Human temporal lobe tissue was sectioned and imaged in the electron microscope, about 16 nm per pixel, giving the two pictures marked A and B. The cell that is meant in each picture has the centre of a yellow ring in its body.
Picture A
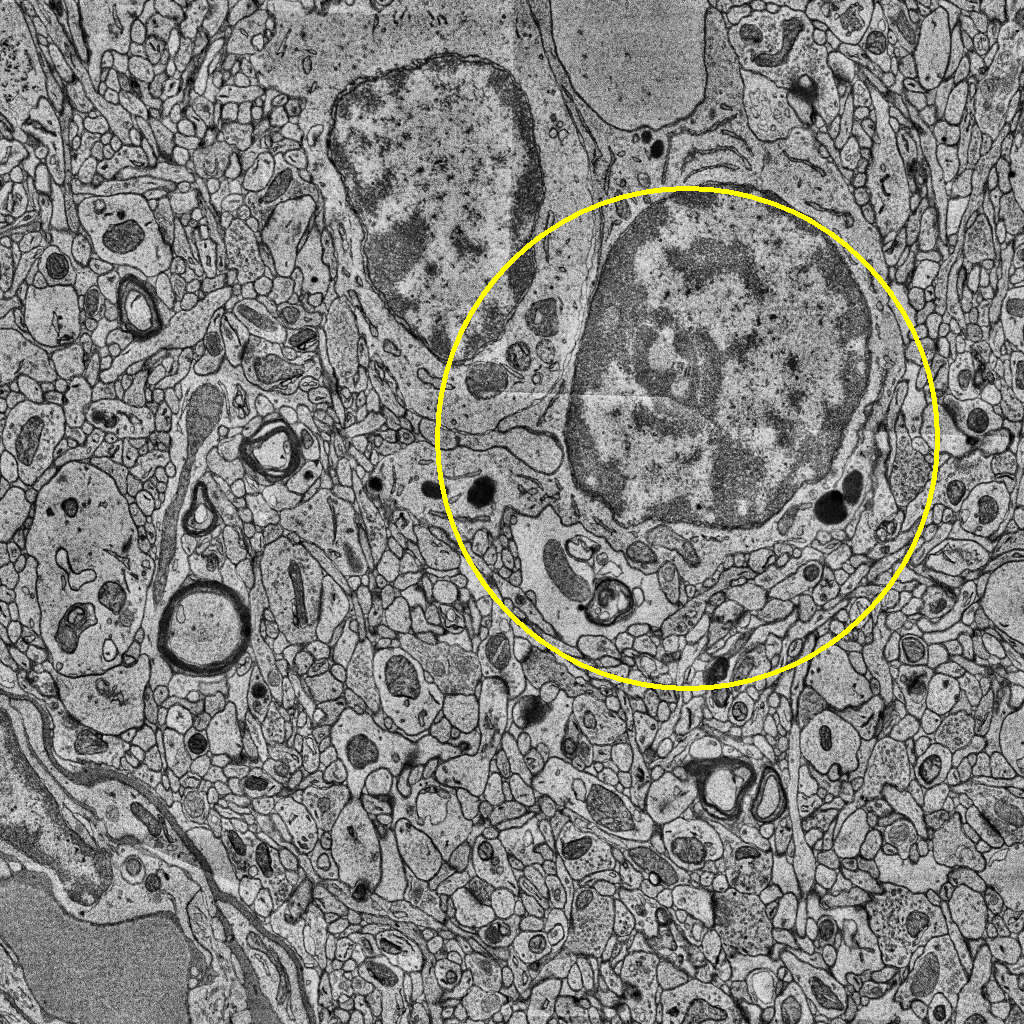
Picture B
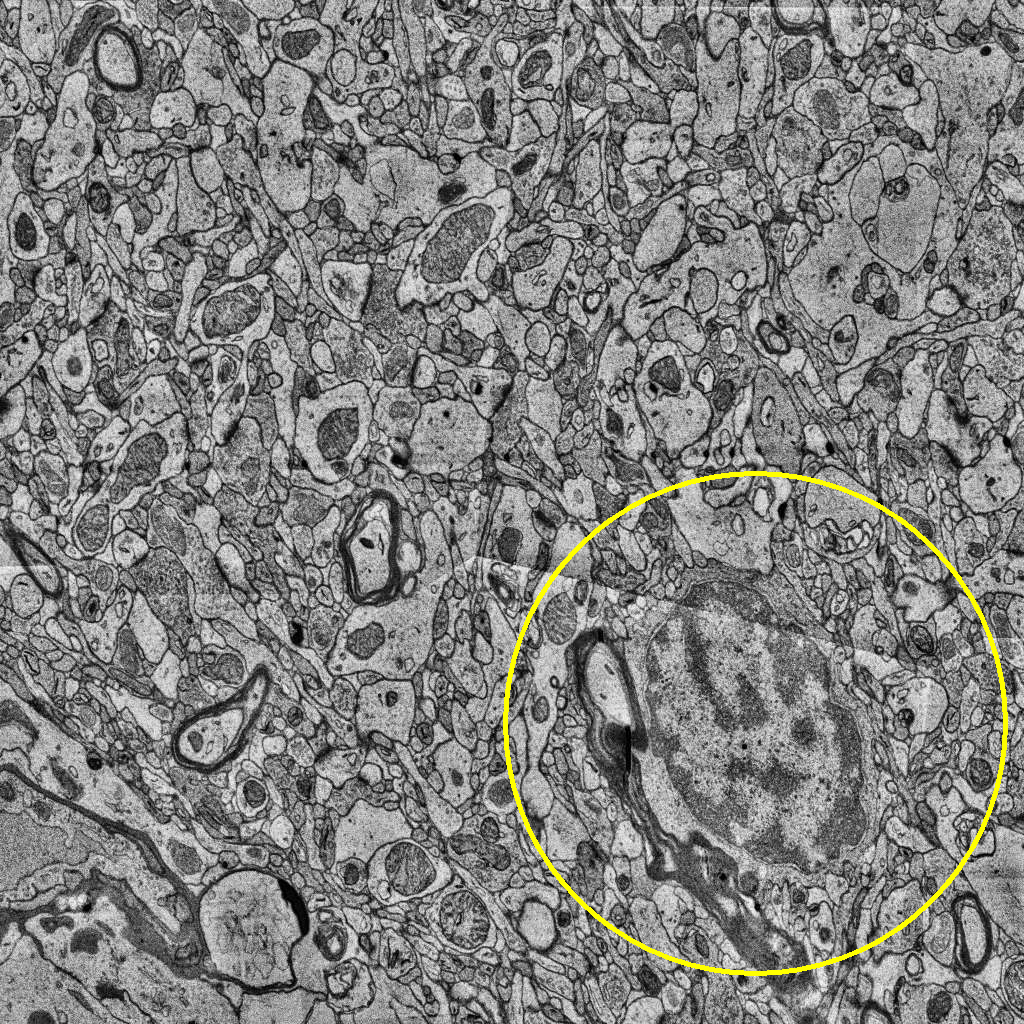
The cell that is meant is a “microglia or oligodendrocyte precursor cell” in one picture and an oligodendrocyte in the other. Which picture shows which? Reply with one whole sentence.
In picture A the cell is a “microglia or oligodendrocyte precursor cell”; in picture B, an oligodendrocyte.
